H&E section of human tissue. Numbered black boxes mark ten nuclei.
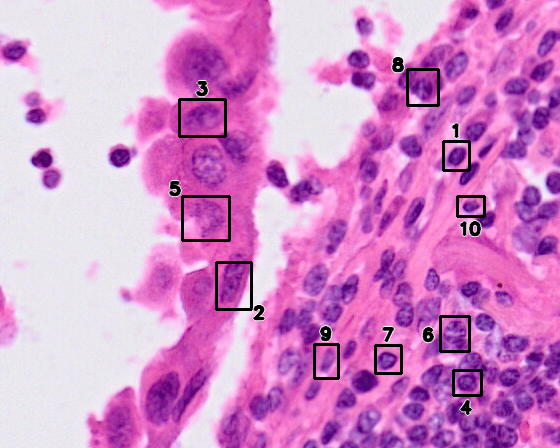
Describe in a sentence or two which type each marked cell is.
Cells 1, 4, 6, 7, 9 and 10 are lymphocytes. Cells 2, 3 and 5 are carcinoma cells. Cell 8 is a plasma cell.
